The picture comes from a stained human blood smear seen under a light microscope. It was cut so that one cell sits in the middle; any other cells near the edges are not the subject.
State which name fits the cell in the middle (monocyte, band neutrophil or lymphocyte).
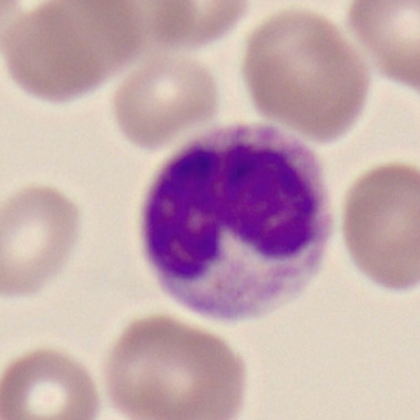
band neutrophil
